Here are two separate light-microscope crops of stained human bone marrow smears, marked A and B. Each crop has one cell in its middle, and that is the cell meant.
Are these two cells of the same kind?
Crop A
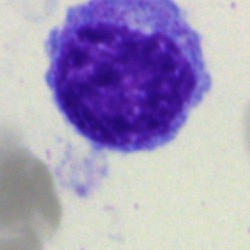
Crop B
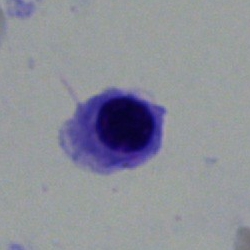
no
